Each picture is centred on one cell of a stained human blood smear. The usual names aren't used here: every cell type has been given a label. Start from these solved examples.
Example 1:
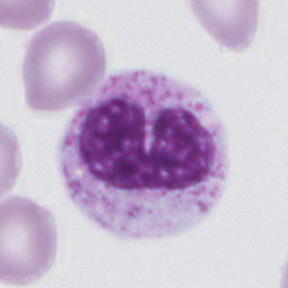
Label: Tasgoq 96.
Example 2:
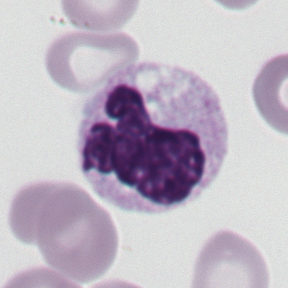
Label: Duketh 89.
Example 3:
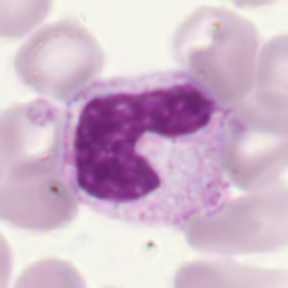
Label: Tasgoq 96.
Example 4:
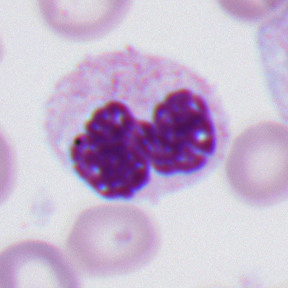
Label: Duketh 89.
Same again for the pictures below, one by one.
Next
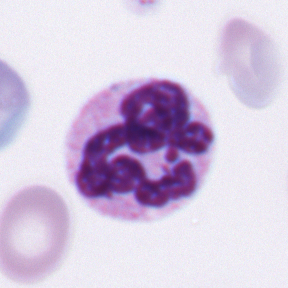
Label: Duketh 89.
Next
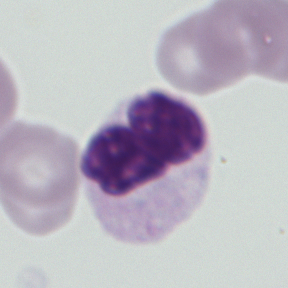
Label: Duketh 89.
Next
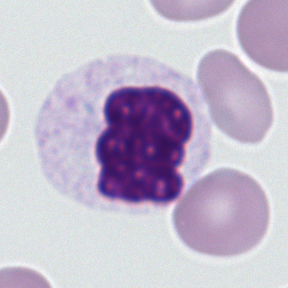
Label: Duketh 89.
